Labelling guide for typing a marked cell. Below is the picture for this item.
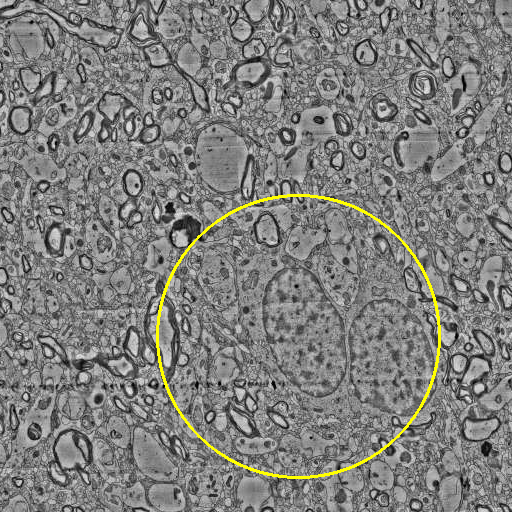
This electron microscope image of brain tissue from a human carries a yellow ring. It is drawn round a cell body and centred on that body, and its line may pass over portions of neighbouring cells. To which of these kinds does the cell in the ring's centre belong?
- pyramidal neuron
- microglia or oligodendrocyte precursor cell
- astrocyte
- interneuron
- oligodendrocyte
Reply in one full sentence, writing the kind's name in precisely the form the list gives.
Here we have an oligodendrocyte at the centre of the yellow ring in the picture.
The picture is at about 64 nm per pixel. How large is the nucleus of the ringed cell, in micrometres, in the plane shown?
About 9 by 5 micrometres; in this plane the nucleus is clearly longer than it is wide.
